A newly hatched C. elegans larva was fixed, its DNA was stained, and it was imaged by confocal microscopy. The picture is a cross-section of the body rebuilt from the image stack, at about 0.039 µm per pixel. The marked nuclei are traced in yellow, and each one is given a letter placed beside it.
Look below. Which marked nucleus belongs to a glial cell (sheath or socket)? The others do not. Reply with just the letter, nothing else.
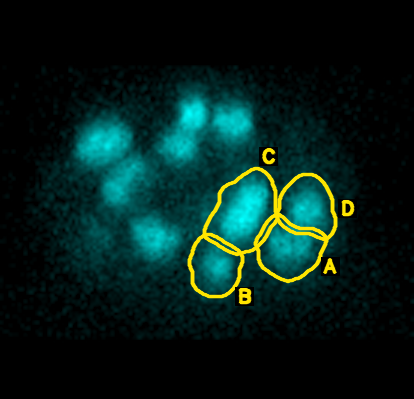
B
